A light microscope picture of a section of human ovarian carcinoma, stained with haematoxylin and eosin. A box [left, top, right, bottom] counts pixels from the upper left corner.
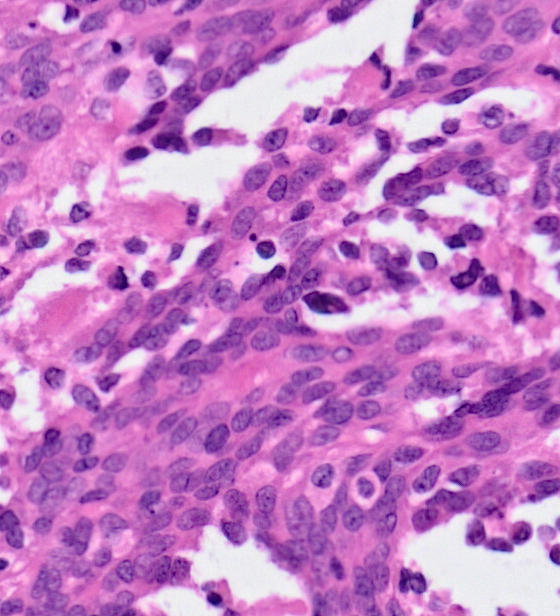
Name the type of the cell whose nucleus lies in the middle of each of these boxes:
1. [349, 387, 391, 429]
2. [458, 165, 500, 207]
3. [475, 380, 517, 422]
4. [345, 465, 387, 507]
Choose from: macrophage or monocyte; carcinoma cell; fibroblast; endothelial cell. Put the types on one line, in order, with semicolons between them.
carcinoma cell; carcinoma cell; carcinoma cell; macrophage or monocyte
